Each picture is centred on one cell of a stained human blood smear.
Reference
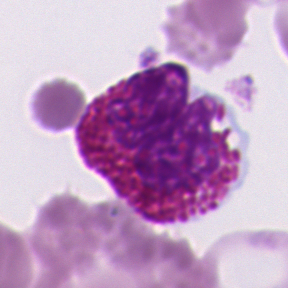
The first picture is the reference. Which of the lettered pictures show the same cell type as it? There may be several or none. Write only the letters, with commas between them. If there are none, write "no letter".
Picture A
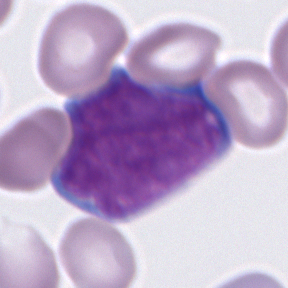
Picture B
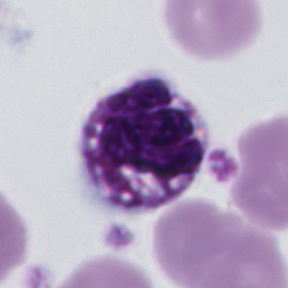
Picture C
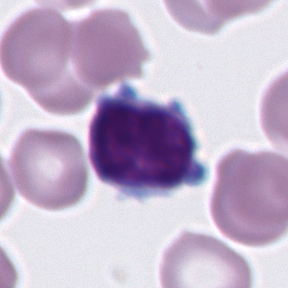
B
